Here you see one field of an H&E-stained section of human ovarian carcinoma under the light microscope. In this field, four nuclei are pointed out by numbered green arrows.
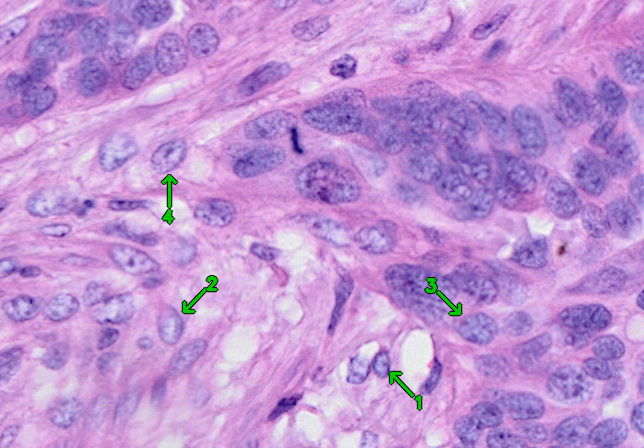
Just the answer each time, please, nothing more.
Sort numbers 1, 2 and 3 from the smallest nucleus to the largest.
1, 2, 3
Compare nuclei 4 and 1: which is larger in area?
4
